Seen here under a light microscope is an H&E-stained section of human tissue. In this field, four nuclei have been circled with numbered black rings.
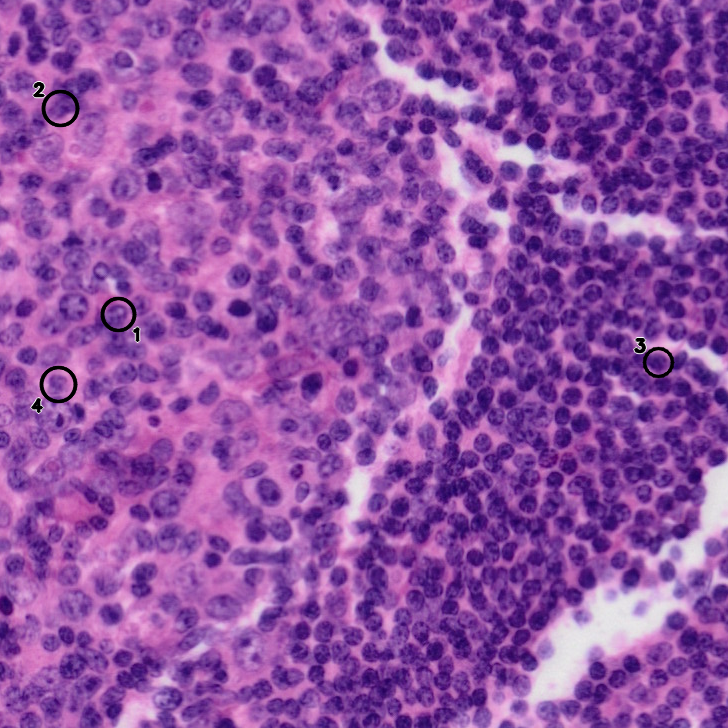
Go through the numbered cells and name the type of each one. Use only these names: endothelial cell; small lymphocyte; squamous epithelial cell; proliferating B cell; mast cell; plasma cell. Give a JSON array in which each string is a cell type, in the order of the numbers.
["proliferating B cell", "proliferating B cell", "small lymphocyte", "proliferating B cell"]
